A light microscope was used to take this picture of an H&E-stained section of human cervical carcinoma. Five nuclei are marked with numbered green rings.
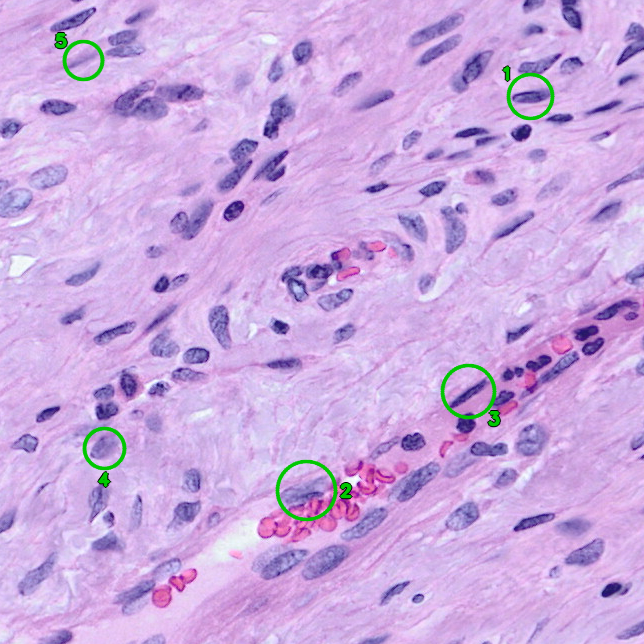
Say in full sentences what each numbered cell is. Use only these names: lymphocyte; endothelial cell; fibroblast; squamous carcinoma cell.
Cells 1, 4 and 5 are fibroblasts. Cells 2 and 3 are endothelial cells.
